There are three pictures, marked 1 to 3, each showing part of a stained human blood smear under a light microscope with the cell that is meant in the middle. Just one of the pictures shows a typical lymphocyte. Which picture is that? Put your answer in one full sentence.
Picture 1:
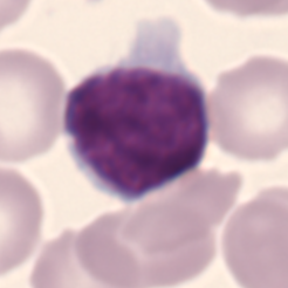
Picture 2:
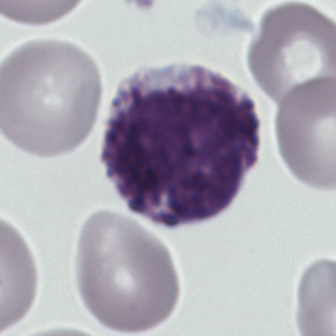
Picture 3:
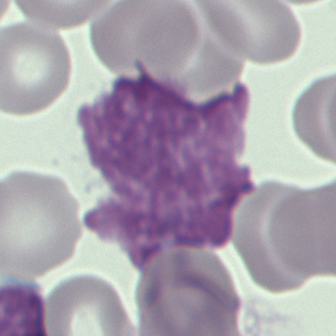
Picture 1 shows the typical lymphocyte.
